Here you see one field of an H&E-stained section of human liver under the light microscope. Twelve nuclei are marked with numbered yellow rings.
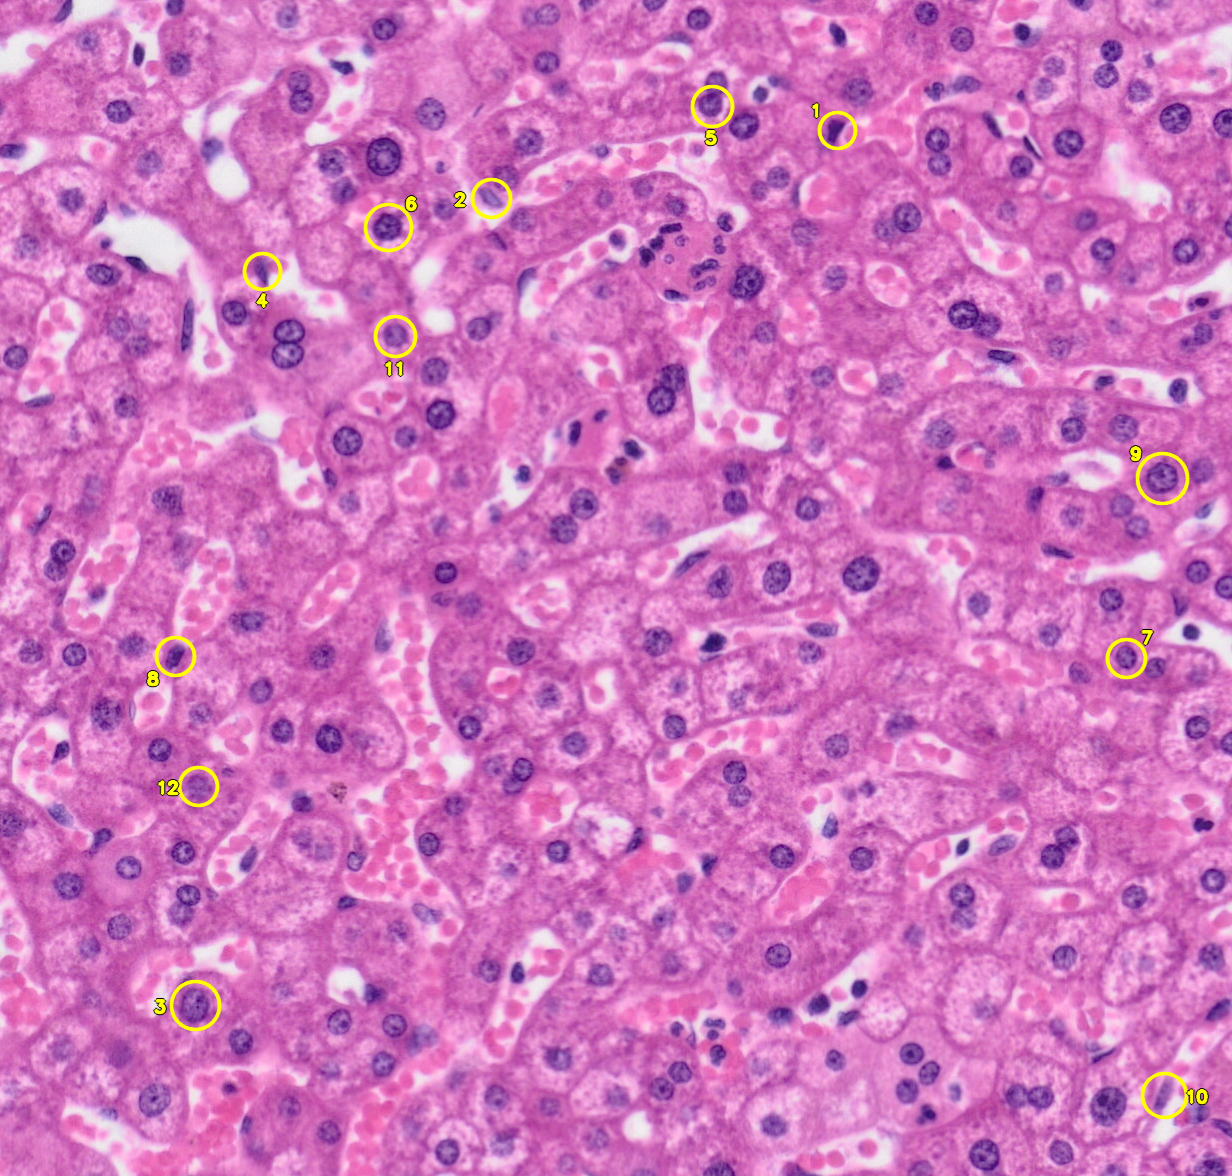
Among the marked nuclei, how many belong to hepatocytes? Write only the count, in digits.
7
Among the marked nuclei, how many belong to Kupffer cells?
2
